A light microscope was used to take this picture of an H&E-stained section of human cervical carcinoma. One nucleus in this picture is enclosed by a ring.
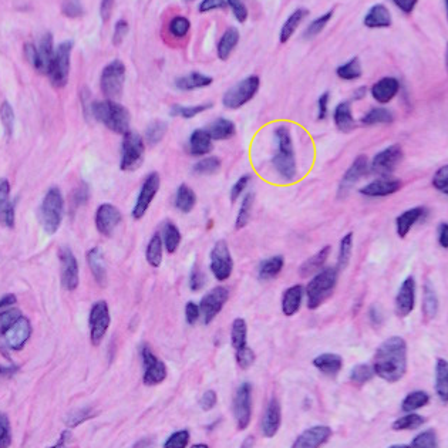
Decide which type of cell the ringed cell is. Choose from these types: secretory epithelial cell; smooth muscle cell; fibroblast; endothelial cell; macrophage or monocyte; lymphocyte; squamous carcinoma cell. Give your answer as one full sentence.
Students should answer that the ringed cell is a fibroblast.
